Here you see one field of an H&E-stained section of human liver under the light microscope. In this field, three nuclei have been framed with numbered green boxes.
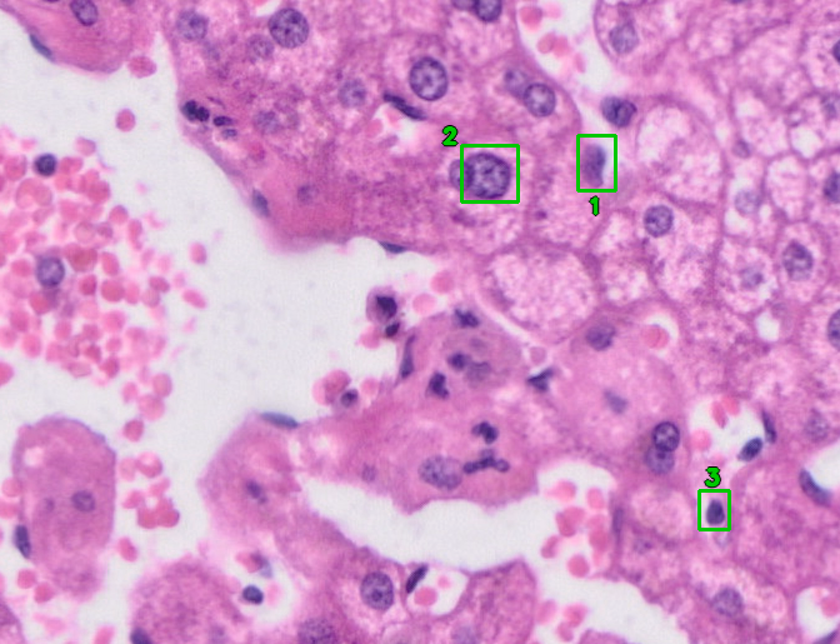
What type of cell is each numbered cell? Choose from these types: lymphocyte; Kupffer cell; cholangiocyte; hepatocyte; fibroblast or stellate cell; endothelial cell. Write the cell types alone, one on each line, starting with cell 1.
endothelial cell
hepatocyte
lymphocyte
